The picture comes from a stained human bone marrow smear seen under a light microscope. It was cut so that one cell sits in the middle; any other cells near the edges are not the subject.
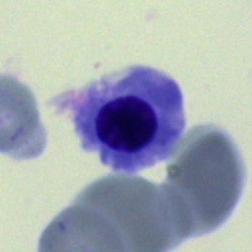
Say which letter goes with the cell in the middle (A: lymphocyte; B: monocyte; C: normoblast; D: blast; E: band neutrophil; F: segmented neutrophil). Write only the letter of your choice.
C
